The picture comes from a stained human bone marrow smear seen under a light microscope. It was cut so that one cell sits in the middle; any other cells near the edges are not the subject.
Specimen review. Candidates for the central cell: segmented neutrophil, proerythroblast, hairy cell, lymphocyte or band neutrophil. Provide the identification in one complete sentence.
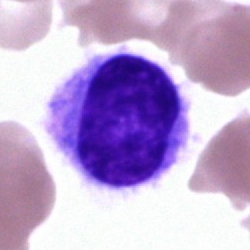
The cell in the middle of this crop is a hairy cell.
